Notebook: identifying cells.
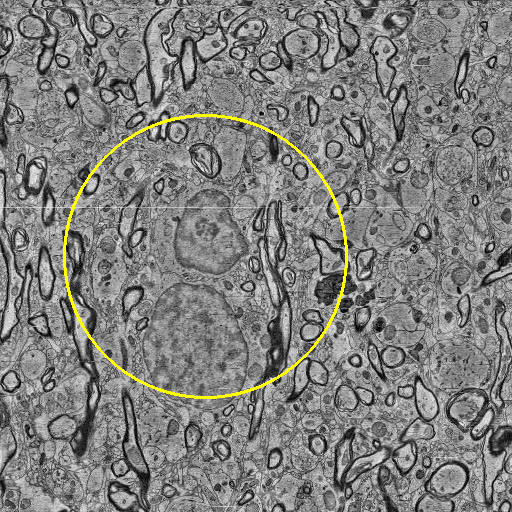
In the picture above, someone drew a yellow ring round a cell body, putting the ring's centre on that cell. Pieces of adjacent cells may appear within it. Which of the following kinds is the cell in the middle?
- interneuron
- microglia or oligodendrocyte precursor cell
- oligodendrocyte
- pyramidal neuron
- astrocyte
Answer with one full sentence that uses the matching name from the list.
In this picture, the yellow ring is centred on the body of an oligodendrocyte.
